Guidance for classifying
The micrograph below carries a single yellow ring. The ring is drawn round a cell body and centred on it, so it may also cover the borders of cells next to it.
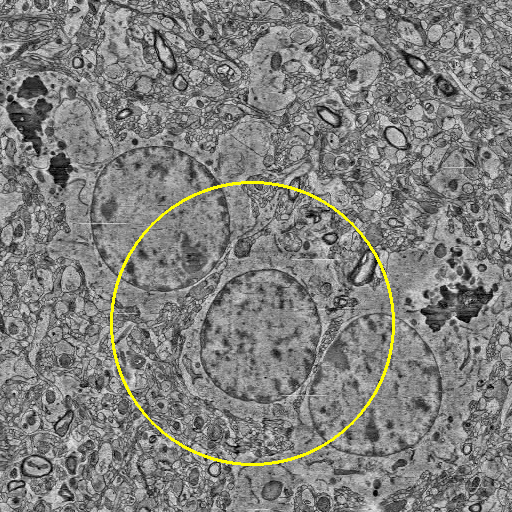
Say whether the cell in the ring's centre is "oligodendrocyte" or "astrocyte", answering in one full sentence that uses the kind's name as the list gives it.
Within the yellow ring, an astrocyte is the cell whose body sits at the centre.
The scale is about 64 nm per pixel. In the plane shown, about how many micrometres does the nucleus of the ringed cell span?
In this plane, approximately 9 by 7 micrometers.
